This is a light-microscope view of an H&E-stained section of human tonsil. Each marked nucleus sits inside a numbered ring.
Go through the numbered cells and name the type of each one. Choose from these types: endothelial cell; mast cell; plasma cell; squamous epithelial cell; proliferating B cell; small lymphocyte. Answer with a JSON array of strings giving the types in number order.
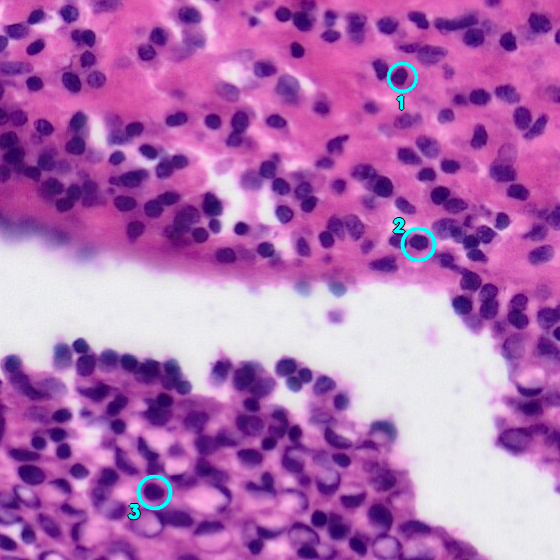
["plasma cell", "plasma cell", "squamous epithelial cell"]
